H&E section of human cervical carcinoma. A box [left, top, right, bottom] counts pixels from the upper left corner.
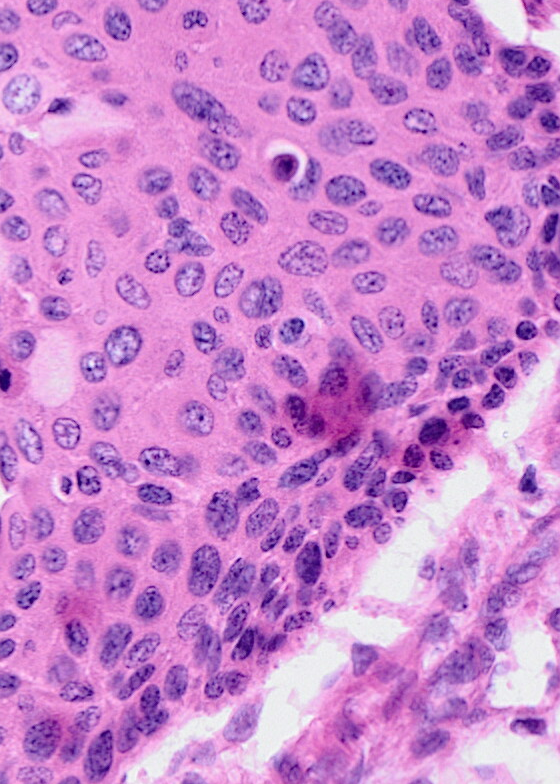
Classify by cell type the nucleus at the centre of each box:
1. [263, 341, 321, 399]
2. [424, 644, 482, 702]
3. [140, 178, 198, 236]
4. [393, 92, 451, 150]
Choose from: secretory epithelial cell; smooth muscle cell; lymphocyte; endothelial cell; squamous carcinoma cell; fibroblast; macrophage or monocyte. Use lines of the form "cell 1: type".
cell 1: squamous carcinoma cell
cell 2: fibroblast
cell 3: squamous carcinoma cell
cell 4: squamous carcinoma cell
